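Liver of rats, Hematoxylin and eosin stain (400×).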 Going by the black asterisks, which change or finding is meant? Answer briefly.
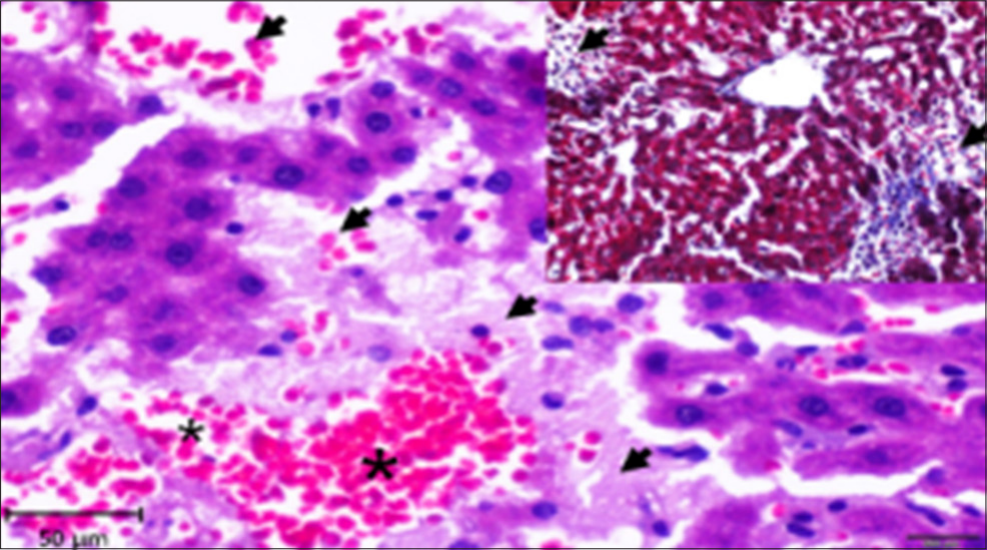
hemorrhage foci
